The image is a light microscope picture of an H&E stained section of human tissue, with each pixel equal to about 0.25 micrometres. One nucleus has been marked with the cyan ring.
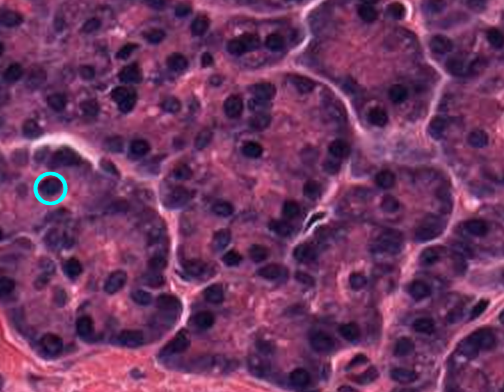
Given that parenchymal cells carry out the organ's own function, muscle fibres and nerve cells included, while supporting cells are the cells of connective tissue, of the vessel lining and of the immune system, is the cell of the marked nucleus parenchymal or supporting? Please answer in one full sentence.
The marked nucleus corresponds to a parenchymal cell, namely a pancreatic acinar cell.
